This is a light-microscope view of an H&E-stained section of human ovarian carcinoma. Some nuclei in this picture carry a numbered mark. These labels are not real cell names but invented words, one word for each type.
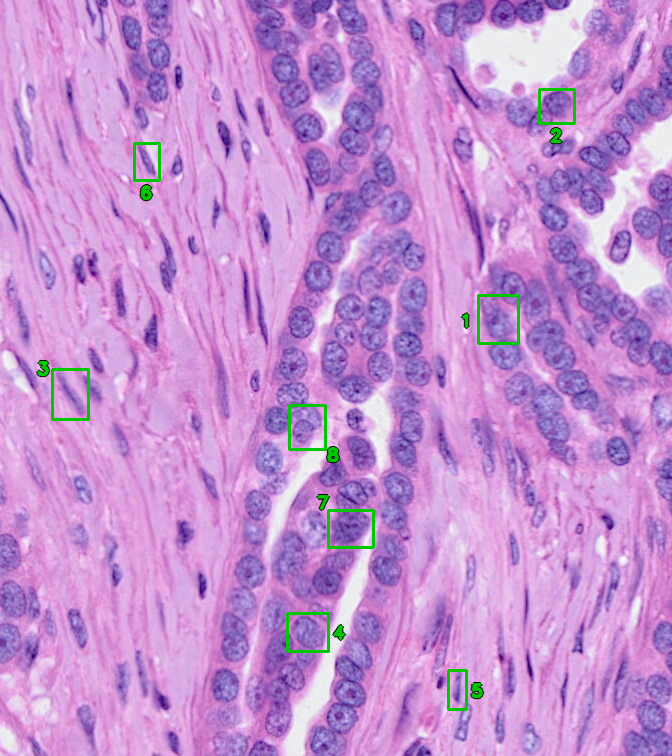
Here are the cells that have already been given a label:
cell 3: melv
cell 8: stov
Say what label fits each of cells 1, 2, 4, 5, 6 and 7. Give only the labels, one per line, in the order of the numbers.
stov
stov
stov
melv
melv
stov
